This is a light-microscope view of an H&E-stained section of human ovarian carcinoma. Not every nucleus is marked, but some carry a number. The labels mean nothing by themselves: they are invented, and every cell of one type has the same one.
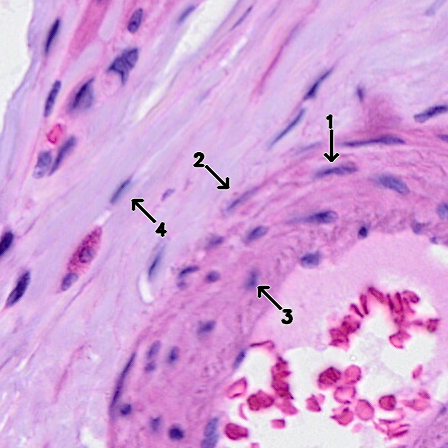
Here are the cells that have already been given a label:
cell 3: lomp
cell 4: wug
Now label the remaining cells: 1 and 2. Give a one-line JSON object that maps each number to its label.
{"1": "lomp", "2": "lomp"}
